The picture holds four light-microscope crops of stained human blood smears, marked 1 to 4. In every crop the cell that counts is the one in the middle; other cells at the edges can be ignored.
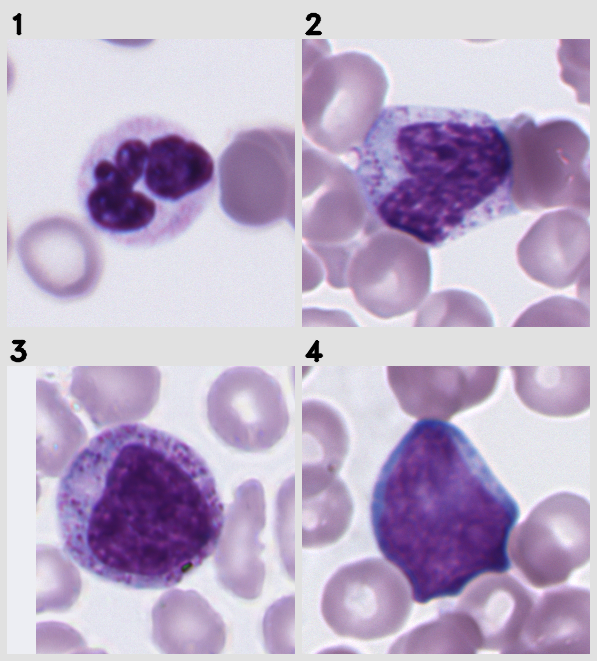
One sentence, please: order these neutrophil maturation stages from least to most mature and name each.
Ordered from the youngest stage to the most mature, the crops are crop 4 (a myeloblast), crop 3 (a myelocyte), crop 2 (a band neutrophil) and crop 1 (a segmented neutrophil).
